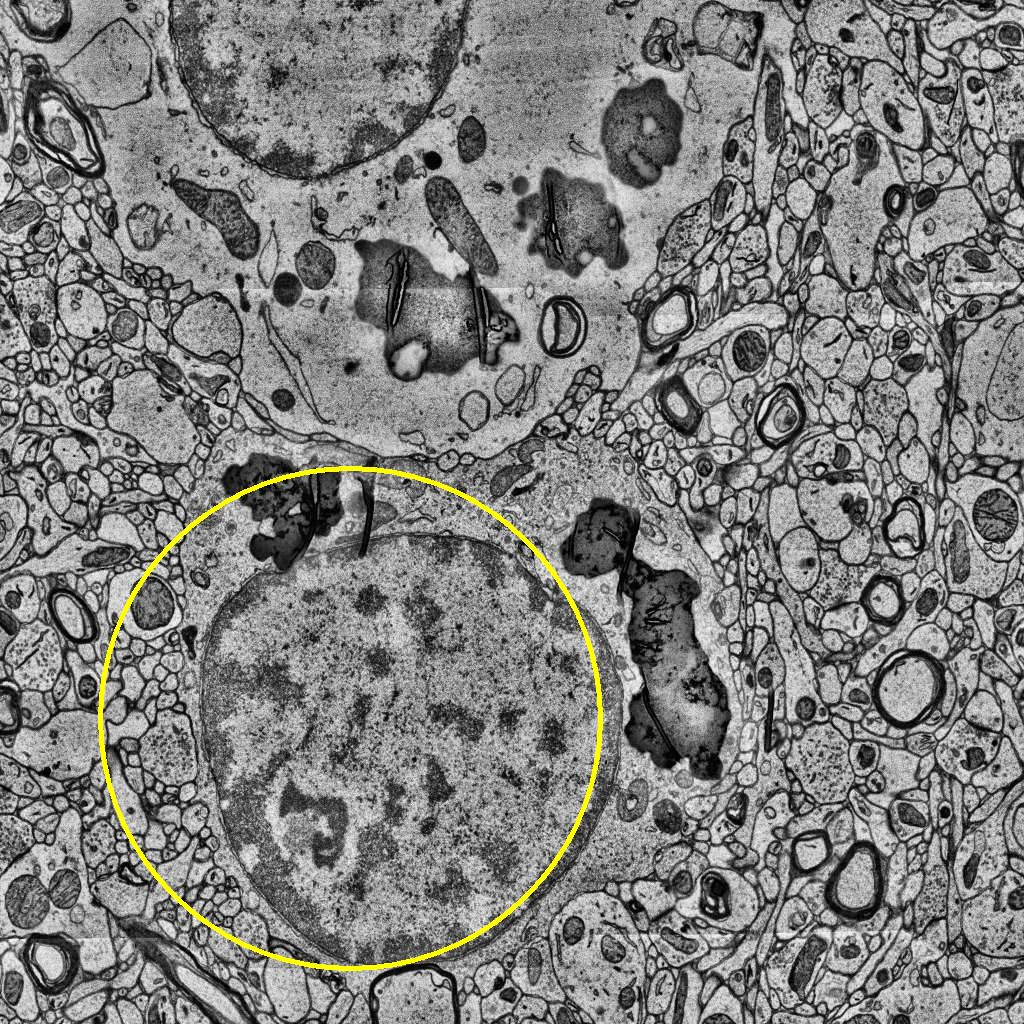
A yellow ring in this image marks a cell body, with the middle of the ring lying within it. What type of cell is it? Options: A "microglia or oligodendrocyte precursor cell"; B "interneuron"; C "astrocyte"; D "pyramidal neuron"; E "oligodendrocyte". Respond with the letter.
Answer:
E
